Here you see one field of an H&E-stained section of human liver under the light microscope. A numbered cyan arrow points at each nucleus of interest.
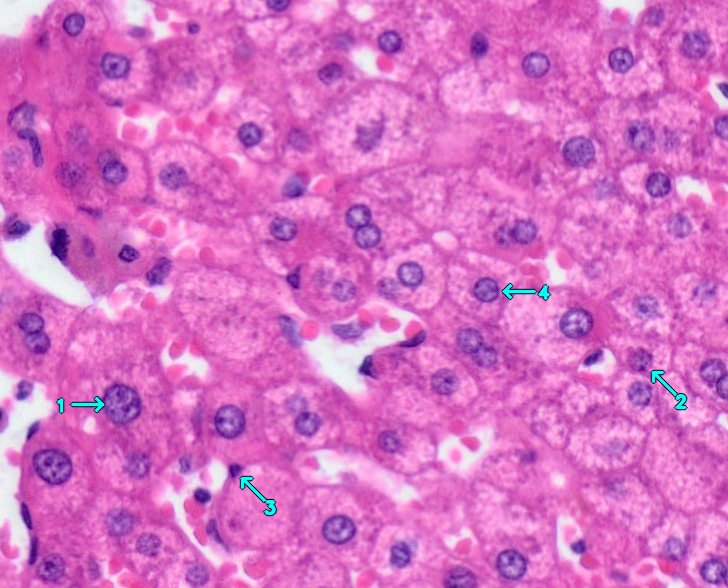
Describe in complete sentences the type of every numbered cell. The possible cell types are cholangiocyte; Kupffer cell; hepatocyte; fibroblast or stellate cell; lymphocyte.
Cell 1 is a hepatocyte, cell 2 is a hepatocyte, cell 3 is a fibroblast or stellate cell and cell 4 is a hepatocyte.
